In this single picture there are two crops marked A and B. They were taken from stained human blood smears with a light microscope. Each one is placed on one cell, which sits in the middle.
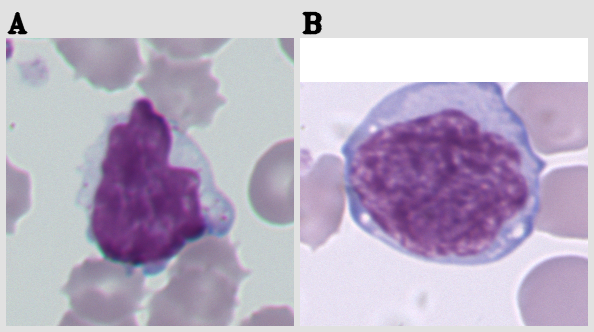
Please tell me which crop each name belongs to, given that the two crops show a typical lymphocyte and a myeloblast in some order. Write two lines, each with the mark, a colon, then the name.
A: typical lymphocyte
B: myeloblast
